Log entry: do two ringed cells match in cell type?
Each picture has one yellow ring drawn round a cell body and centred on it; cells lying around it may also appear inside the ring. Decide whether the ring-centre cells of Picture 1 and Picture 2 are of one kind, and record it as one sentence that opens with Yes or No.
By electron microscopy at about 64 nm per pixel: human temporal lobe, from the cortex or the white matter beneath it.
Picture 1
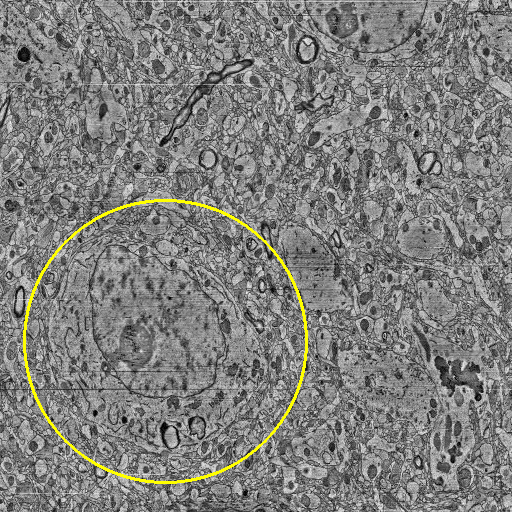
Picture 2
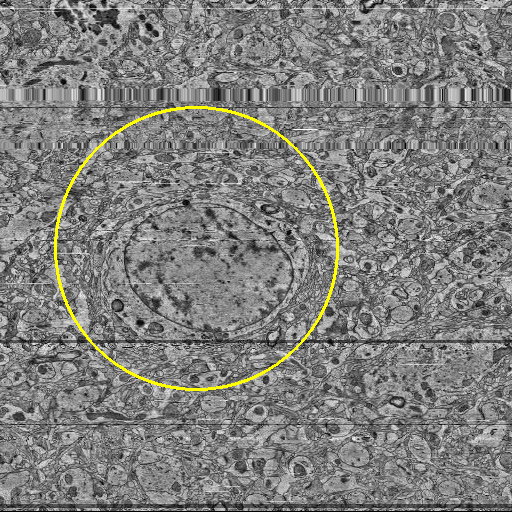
Yes, the cells at the ring centres of the two pictures belong to one kind.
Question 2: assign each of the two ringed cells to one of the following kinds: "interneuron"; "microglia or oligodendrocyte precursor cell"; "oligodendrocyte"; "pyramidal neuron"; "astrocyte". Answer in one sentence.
Each cell, in the first picture and the second, is a pyramidal neuron.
